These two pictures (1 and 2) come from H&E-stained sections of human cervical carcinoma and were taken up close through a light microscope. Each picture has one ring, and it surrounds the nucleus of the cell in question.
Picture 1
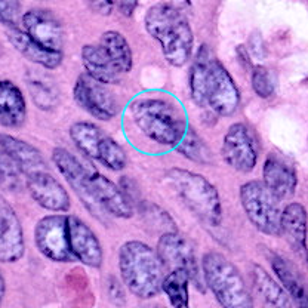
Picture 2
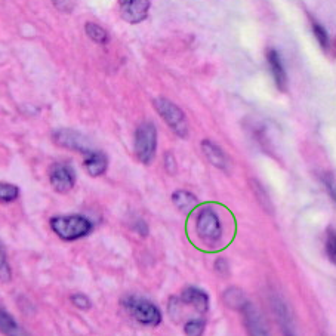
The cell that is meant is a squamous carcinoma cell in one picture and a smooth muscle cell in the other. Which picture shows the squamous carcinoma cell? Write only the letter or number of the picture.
1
